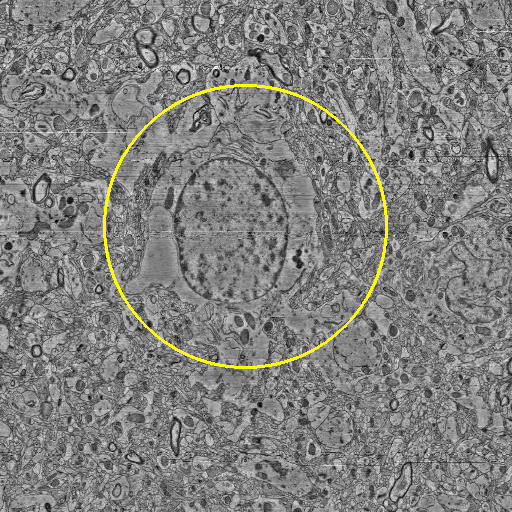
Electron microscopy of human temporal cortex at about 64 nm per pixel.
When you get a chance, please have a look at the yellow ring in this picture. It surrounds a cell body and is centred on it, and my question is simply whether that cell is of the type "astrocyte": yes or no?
Yes, the cell is of that type.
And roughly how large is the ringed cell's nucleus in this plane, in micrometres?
Approximately 10 micrometres long and 7 micrometres wide, in this plane.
